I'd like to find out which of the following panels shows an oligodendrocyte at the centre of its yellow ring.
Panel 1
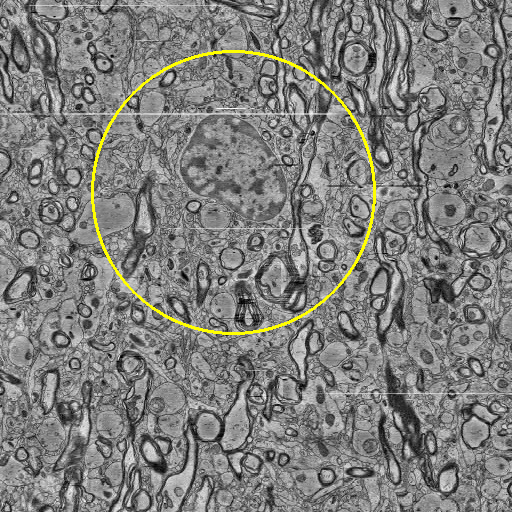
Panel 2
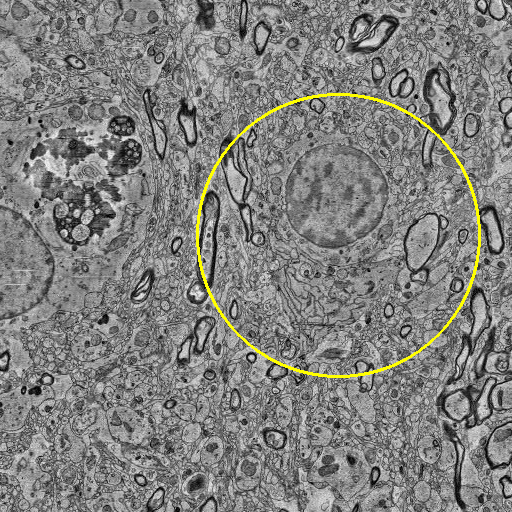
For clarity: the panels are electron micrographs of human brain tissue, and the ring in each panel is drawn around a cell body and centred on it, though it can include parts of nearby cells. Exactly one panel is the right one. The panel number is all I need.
2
